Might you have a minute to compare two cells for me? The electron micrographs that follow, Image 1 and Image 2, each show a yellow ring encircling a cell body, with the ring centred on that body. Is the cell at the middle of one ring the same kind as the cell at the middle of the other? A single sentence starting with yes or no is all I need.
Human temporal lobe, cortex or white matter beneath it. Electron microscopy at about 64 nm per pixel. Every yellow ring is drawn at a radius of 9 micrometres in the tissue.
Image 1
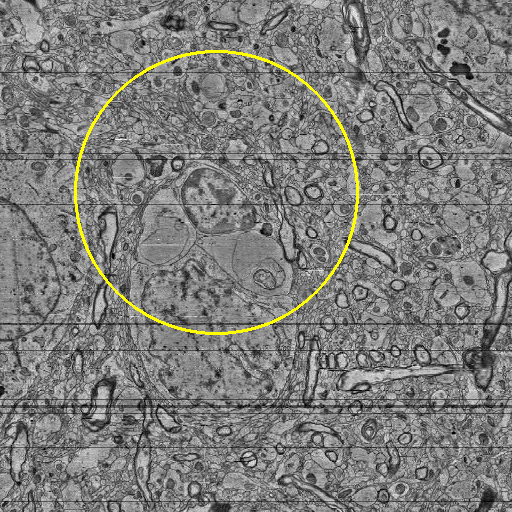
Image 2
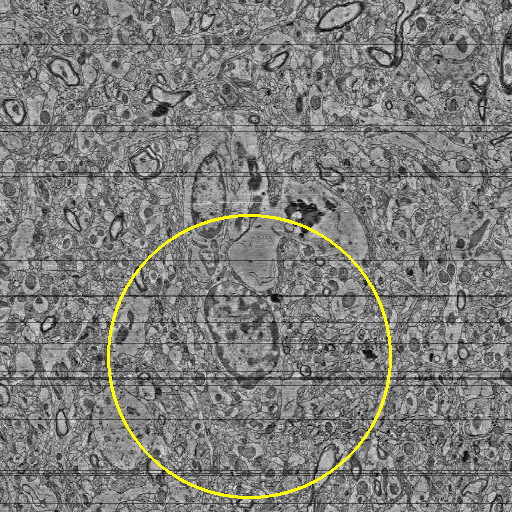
Yes, the cells in the middle of the two rings are of one shared kind.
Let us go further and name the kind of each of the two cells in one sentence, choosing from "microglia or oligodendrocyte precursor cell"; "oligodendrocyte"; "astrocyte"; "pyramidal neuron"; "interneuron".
In each of the two pictures, the ringed cell is a microglial cell or oligodendrocyte precursor cell.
